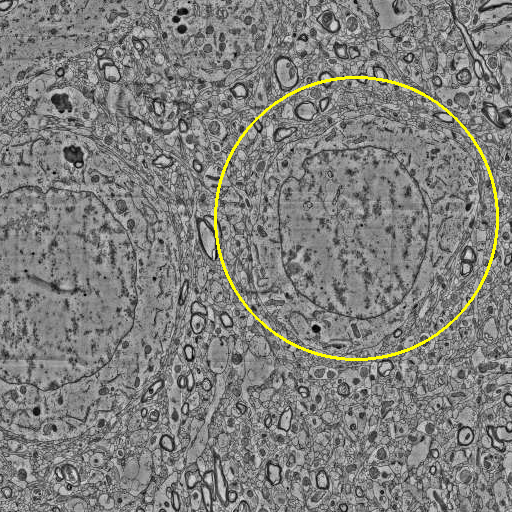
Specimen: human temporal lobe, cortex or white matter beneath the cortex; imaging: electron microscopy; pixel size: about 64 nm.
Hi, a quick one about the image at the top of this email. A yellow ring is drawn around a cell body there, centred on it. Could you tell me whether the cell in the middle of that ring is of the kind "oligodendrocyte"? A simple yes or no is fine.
no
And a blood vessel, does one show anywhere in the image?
No, none appears.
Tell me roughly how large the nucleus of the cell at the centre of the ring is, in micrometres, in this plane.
In this plane, the nucleus of the cell at the centre of the ring is about 11 micrometres across.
